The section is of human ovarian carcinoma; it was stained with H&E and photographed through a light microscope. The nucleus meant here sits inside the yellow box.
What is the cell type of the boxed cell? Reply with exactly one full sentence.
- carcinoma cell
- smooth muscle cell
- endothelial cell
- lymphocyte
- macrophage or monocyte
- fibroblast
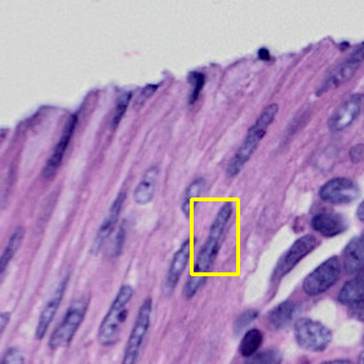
In the context of this tissue, the boxed cell is a fibroblast.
